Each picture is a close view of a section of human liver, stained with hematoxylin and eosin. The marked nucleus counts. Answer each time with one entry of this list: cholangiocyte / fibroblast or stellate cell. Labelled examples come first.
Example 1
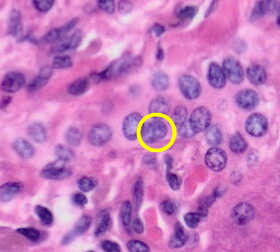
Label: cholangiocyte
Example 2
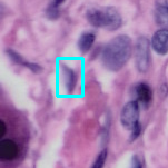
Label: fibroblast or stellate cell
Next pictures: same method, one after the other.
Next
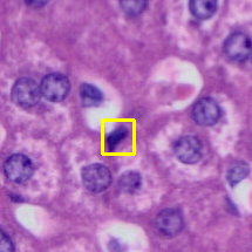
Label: fibroblast or stellate cell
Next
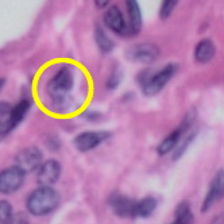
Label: fibroblast or stellate cell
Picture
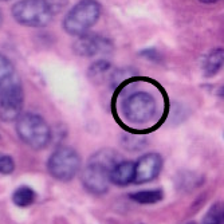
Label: cholangiocyte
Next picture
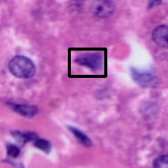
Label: fibroblast or stellate cell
